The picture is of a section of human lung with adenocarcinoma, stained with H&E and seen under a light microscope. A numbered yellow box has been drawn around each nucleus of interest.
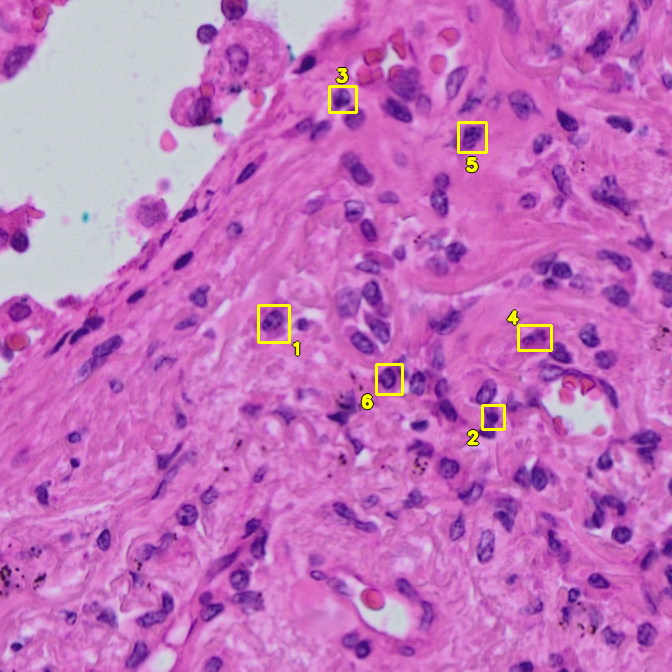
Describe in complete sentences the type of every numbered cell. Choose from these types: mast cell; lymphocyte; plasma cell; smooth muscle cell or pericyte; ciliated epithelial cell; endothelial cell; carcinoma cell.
Cell 1 is a plasma cell, cell 2 is a lymphocyte, cell 3 is a lymphocyte, cell 4 is a plasma cell, cell 5 is a plasma cell and cell 6 is a plasma cell.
